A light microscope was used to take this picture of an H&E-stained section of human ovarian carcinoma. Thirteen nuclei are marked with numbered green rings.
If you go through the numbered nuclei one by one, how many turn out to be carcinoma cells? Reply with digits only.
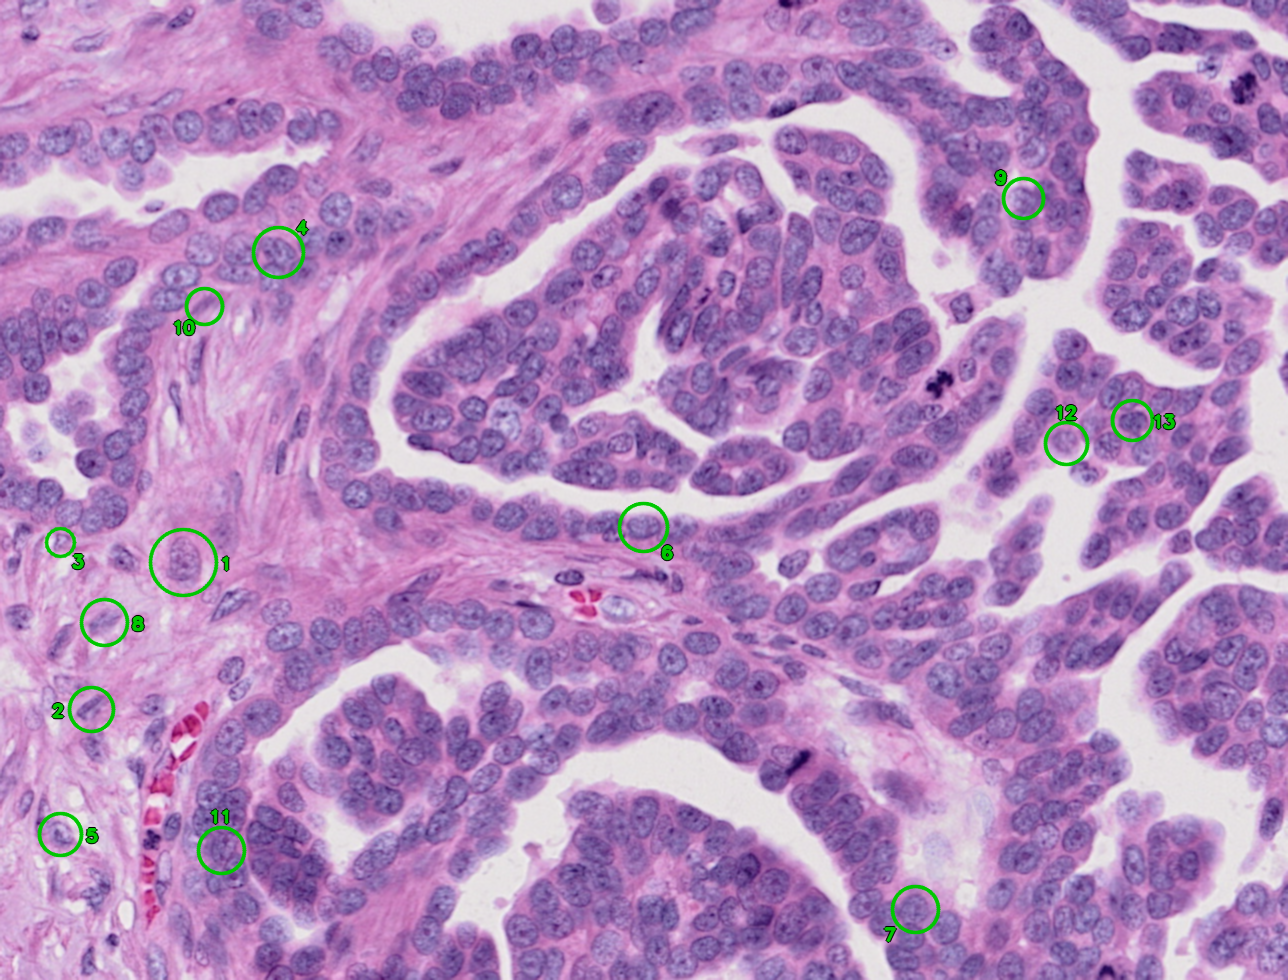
7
